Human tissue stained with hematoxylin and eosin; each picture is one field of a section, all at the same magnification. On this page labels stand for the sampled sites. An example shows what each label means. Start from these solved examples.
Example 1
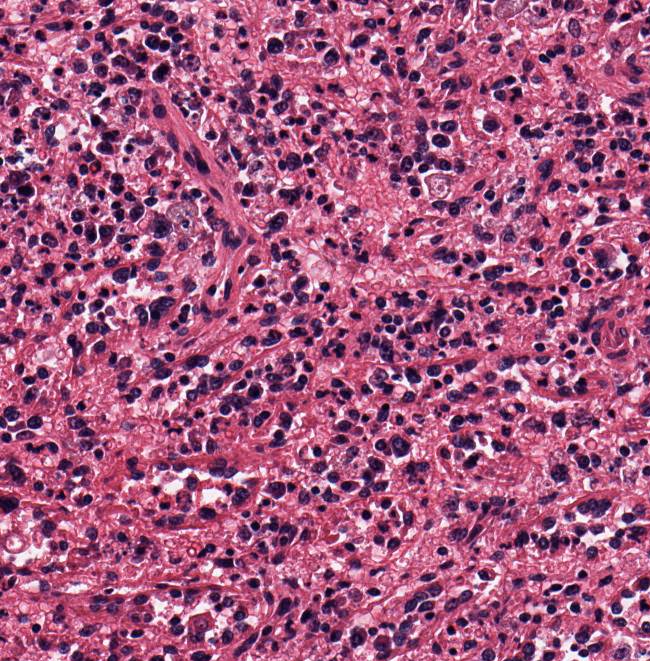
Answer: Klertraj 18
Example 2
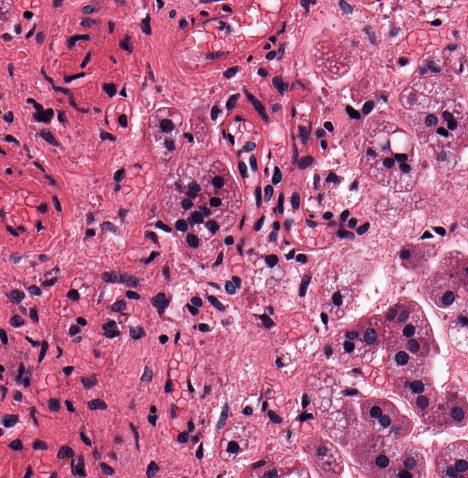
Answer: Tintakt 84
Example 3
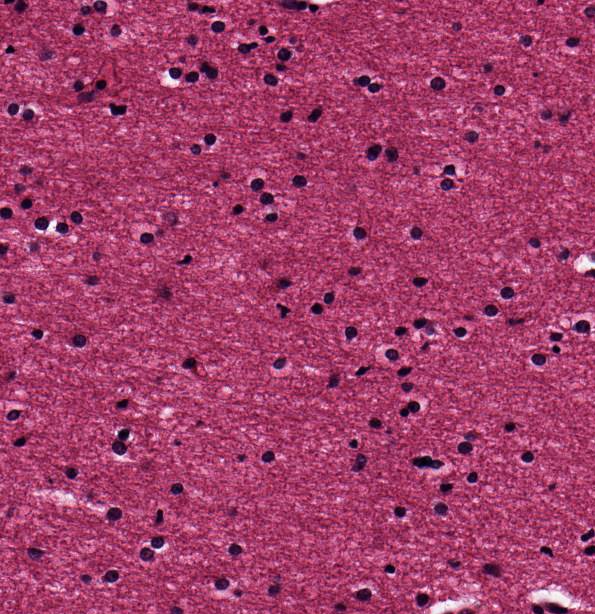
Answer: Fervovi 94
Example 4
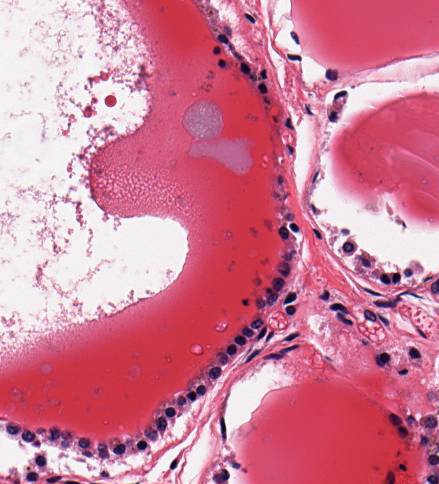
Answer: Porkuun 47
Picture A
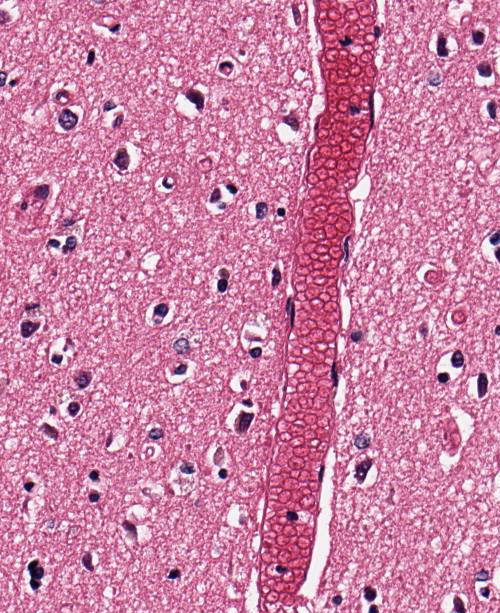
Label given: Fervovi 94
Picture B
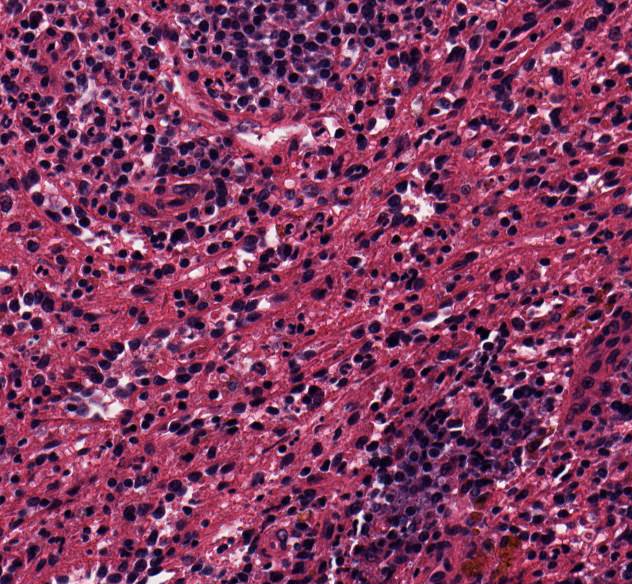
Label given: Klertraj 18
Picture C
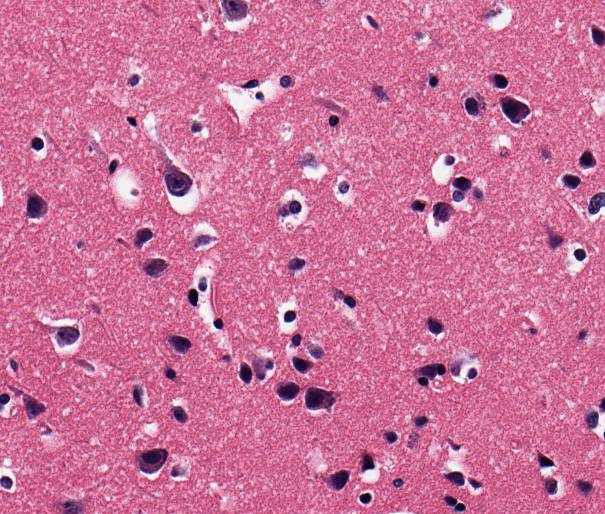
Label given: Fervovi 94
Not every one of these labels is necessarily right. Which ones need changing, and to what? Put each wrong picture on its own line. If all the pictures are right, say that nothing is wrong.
Every label is right.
